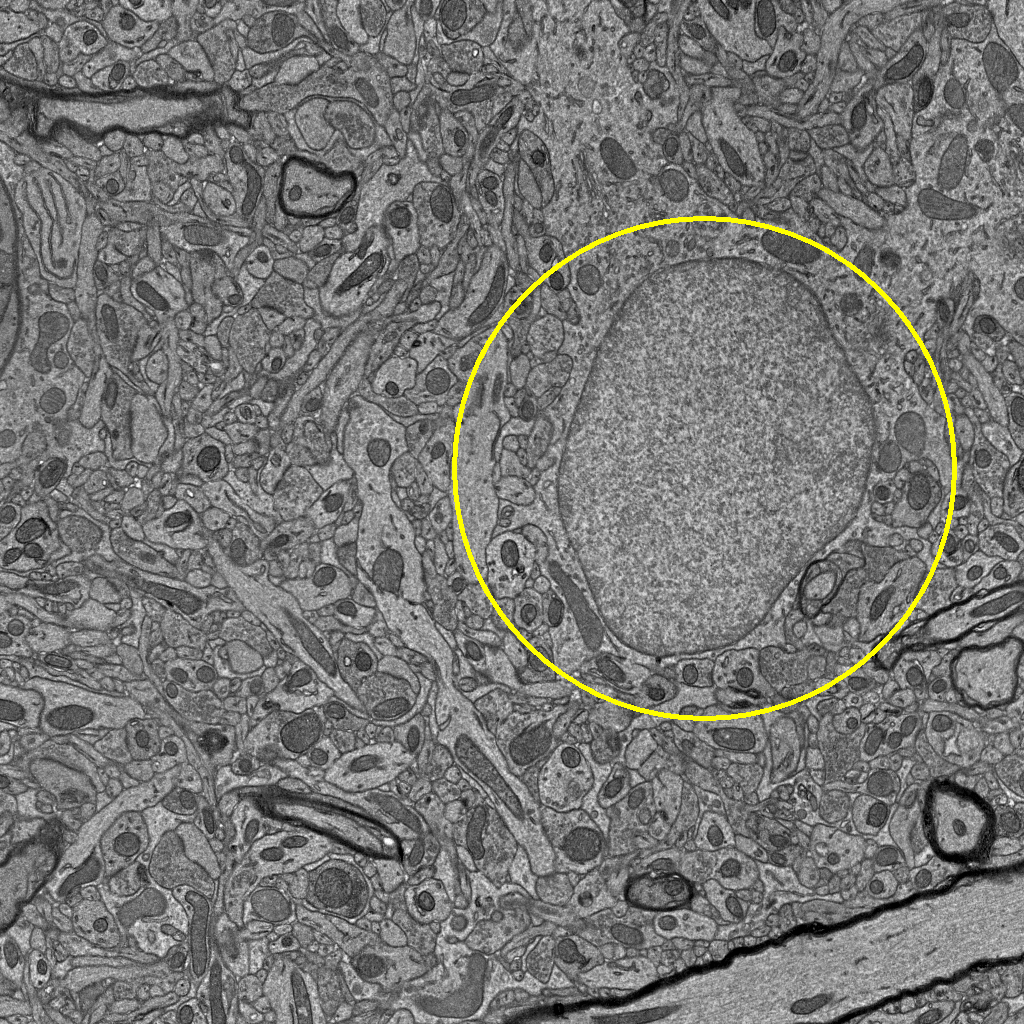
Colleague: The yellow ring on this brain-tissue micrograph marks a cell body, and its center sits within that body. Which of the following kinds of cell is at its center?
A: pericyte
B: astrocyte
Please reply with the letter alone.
B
